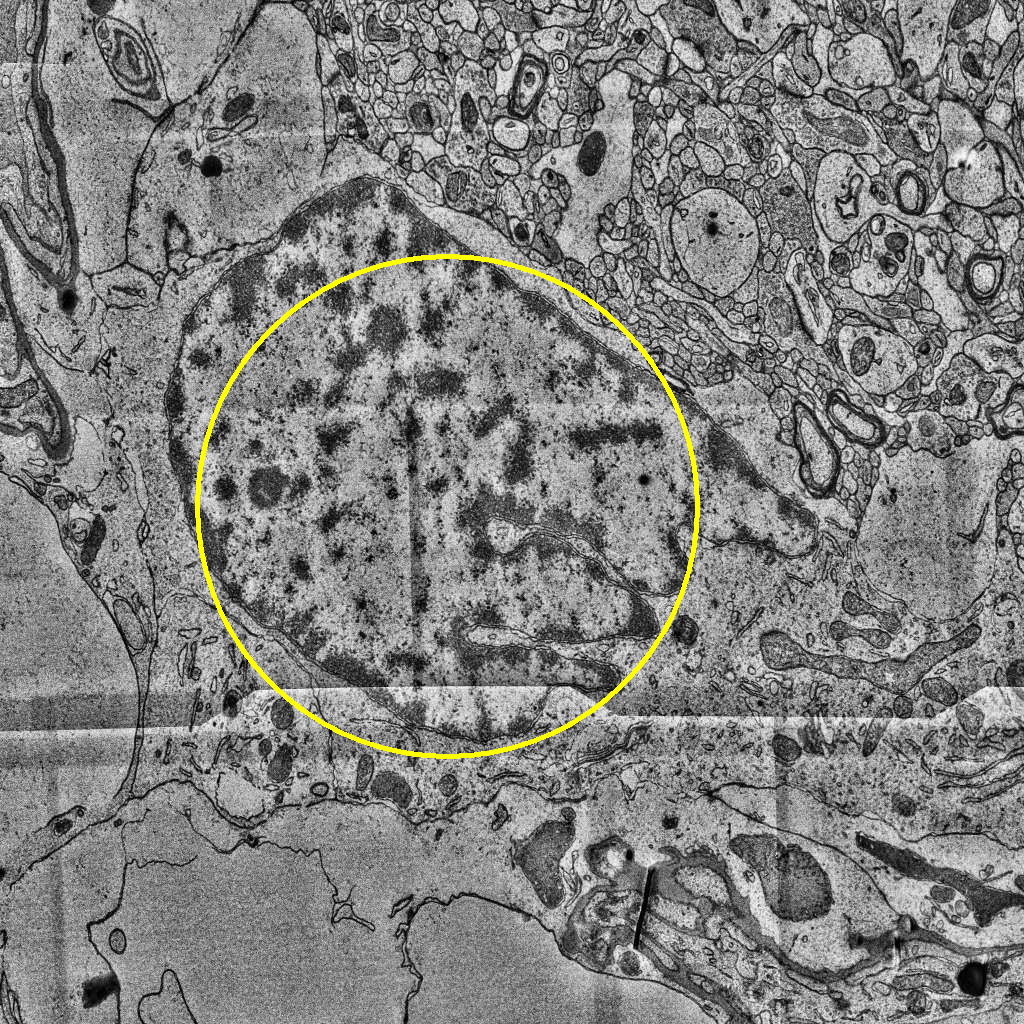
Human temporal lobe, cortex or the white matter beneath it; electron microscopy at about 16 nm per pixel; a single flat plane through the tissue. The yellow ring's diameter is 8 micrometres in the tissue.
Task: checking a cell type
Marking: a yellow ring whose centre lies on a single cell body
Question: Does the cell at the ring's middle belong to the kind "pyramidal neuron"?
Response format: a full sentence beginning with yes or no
No, the cell marked at the ring's centre in the picture is of a different kind.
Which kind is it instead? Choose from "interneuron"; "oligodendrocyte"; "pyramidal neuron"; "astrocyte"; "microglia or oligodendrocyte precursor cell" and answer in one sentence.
Instead, the ring in this picture marks a microglial cell or oligodendrocyte precursor cell.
